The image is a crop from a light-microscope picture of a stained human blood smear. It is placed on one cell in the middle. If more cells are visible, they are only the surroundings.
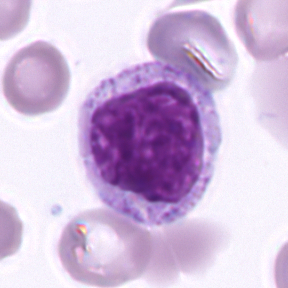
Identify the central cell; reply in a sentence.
The cell in the middle of this crop is a myelocyte.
